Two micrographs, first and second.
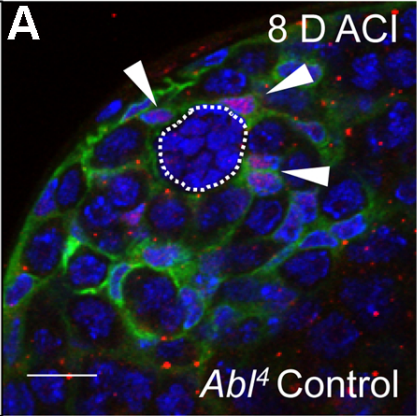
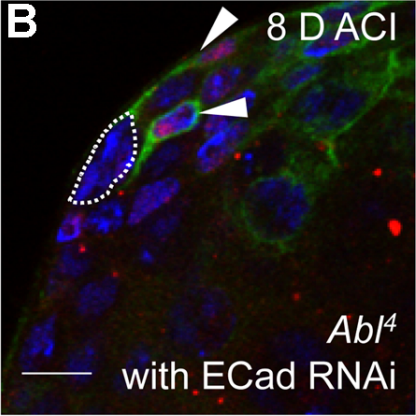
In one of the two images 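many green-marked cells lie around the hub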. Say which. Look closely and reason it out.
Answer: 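Second image: only a few cells near the outlined hub are outlined in green. First image: many cells around the outlined hub are outlined in green.
The first image.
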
